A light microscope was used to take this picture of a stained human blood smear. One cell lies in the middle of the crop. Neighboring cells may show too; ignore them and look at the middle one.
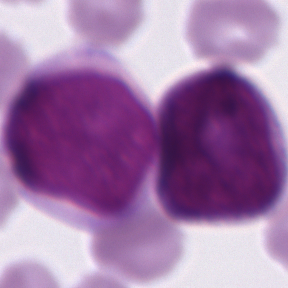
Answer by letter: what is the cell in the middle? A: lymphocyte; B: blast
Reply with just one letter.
B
